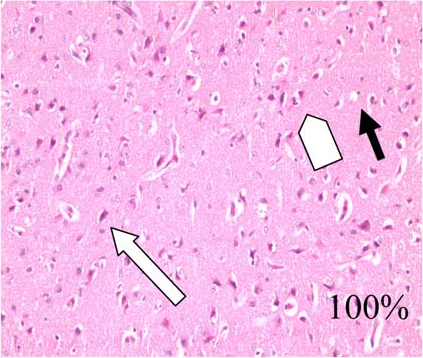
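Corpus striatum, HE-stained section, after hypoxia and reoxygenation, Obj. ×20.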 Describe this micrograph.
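This is brain grey matter with many cells scattered in a pink neuropil and numerous small vessels. Many neurons are small, elongated or angular, with dark, compact nuclei and pink cytoplasm, and clear halos surround several of them. Small clear vacuoles lie in the neuropil between the cells.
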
